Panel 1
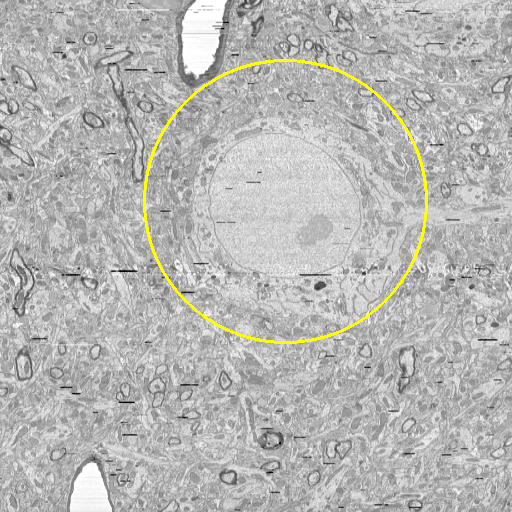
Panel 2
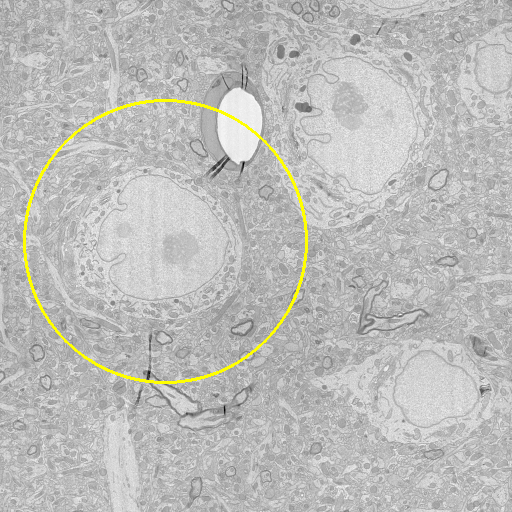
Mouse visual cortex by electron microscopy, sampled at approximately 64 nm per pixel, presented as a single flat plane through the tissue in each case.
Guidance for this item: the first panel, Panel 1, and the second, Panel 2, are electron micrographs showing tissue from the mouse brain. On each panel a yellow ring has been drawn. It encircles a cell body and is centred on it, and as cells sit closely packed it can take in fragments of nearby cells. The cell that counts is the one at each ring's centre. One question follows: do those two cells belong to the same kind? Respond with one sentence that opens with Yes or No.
No, the cells at the ring centres in Panel 1 and Panel 2 are of two kinds.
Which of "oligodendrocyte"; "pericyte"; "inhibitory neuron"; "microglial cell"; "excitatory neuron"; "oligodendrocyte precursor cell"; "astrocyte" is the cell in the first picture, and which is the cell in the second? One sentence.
The two differ: the first cell is an excitatory neuron and the second is an inhibitory neuron.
